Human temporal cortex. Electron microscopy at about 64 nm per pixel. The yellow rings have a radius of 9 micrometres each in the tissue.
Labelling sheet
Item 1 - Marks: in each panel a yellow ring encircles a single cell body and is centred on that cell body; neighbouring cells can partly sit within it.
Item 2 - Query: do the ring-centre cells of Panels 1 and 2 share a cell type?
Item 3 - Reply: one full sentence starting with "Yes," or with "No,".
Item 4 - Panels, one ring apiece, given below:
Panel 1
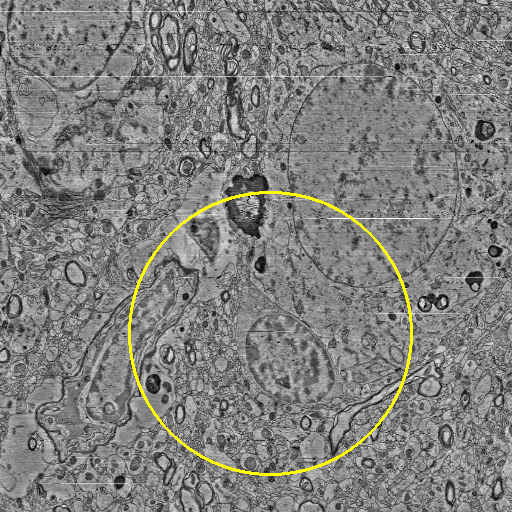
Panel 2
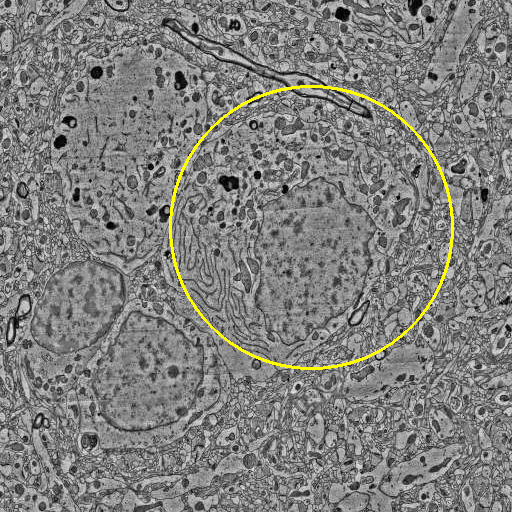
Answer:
No, Panel 1 and Panel 2 show two cell types at the centres of their rings.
